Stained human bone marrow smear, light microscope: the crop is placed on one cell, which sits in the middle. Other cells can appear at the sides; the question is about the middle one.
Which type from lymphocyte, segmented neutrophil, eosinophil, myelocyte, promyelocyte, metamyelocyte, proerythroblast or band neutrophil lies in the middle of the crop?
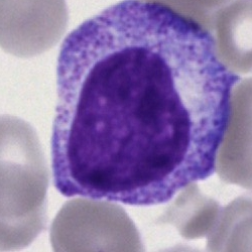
myelocyte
